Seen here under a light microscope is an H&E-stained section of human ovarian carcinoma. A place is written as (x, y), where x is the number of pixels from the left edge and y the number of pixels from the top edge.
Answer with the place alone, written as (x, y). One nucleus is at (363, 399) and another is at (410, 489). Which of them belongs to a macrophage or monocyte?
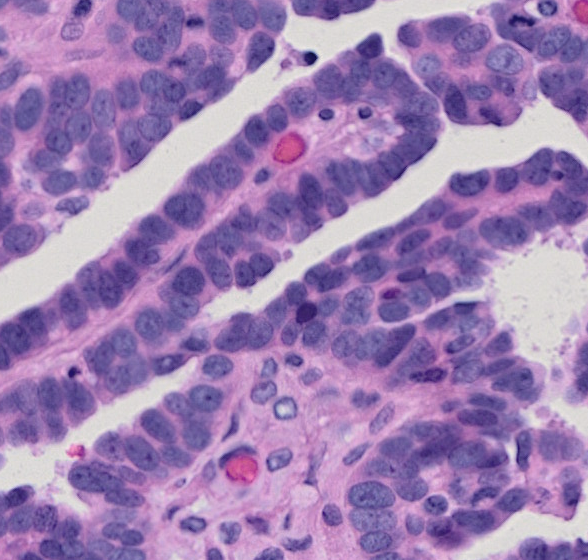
(363, 399)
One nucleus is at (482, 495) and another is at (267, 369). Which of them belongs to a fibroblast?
(267, 369)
